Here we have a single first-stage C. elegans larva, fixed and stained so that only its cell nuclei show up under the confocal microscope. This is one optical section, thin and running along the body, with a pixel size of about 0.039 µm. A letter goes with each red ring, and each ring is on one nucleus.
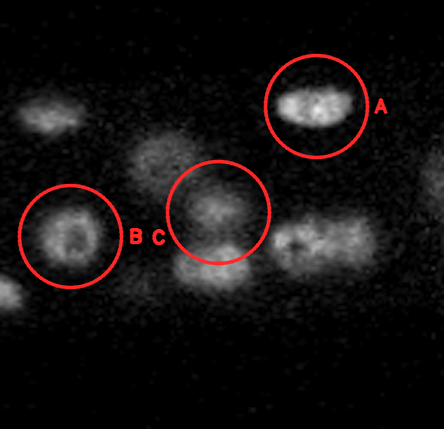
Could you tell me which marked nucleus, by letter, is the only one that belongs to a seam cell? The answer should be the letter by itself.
B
